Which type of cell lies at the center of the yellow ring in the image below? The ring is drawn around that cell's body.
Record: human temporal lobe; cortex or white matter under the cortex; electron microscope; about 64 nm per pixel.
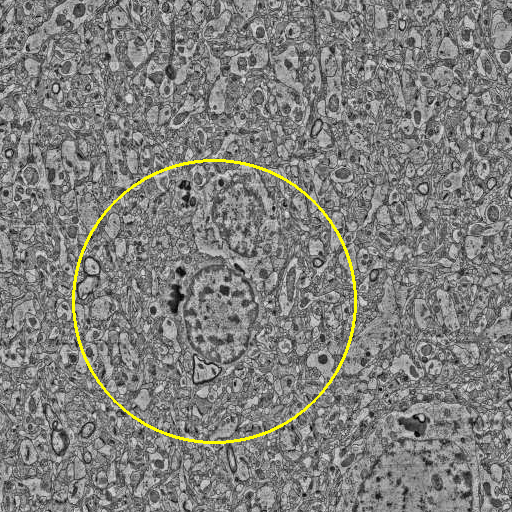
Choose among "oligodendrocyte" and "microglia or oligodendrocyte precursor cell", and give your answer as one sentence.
The cell body at the center belongs to an oligodendrocyte.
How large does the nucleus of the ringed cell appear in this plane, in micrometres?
The nucleus works out at approximately 6 by 5 micrometres in this plane.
